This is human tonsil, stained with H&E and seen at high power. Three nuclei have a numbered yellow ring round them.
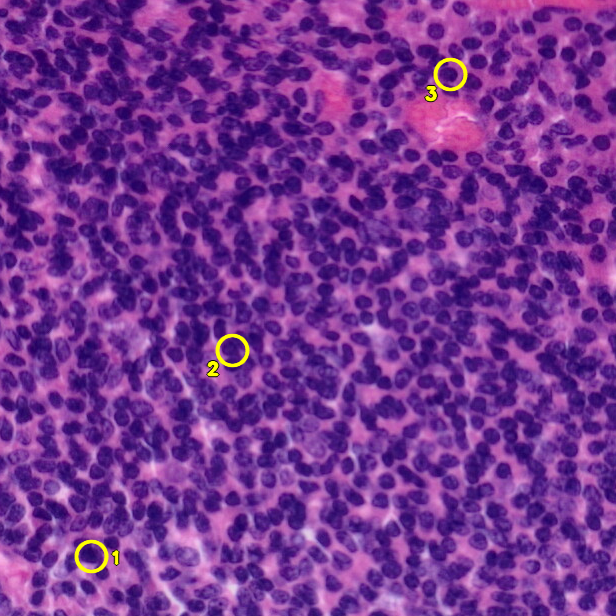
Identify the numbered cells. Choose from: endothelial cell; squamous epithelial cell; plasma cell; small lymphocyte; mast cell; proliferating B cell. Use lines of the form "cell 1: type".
cell 1: small lymphocyte
cell 2: small lymphocyte
cell 3: plasma cell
